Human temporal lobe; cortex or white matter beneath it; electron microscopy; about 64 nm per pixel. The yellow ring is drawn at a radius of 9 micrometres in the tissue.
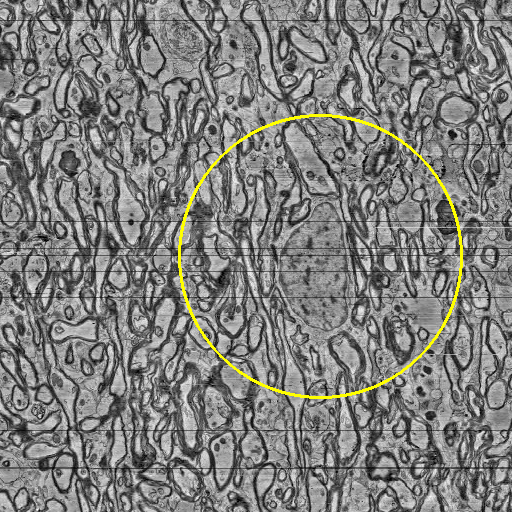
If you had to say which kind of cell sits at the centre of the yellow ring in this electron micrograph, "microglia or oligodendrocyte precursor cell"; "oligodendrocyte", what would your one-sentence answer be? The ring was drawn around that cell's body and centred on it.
The cell sitting at the centre of the ring is a microglial cell or oligodendrocyte precursor cell.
